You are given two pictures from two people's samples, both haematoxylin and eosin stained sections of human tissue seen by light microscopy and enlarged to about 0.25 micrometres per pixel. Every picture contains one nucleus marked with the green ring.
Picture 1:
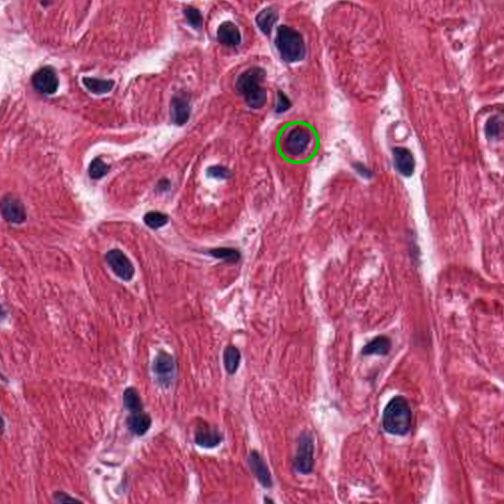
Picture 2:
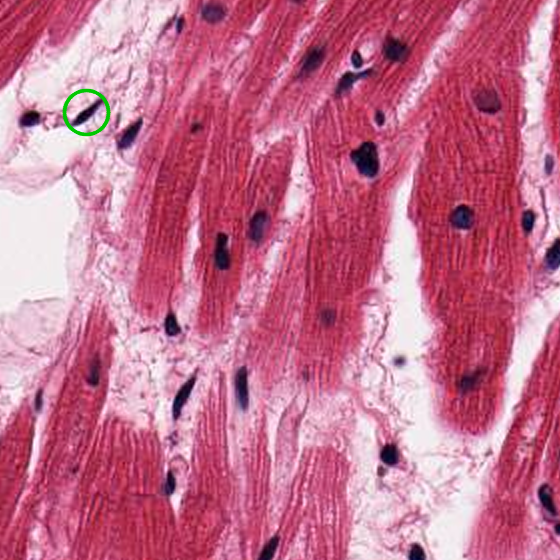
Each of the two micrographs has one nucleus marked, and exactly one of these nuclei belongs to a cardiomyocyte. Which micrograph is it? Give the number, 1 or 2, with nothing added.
1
